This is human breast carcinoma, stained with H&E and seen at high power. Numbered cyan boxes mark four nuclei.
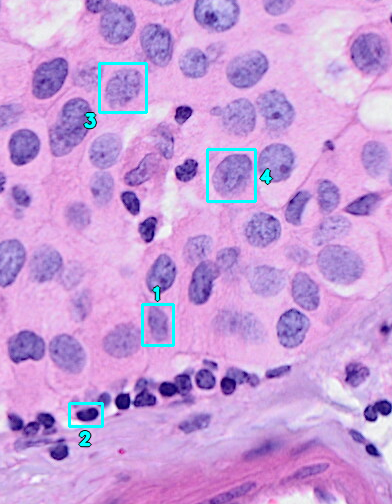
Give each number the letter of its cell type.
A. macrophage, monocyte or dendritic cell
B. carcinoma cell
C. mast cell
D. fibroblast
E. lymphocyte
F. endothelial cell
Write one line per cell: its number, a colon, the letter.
1: B
2: E
3: B
4: B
